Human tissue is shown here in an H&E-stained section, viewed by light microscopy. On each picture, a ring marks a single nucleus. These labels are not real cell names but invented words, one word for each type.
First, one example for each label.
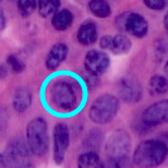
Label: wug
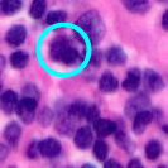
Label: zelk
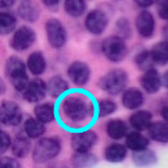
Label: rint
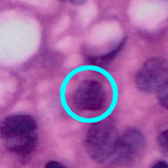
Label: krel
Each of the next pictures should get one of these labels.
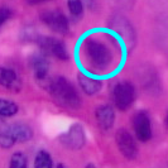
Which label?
krel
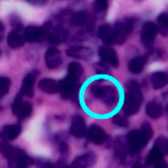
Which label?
rint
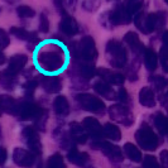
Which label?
rint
